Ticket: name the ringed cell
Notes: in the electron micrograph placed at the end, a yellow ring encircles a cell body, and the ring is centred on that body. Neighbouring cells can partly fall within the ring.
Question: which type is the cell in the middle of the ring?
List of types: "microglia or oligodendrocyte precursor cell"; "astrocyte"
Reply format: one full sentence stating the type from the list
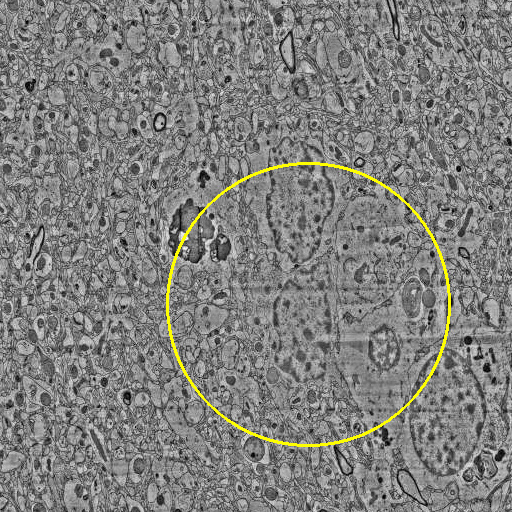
The cell sitting at the centre of the yellow ring is a microglial cell or oligodendrocyte precursor cell.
